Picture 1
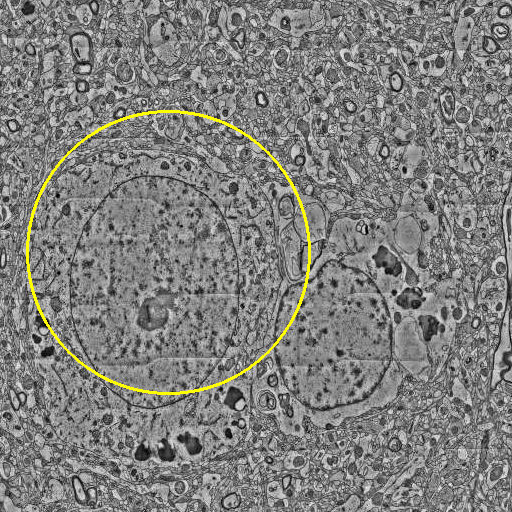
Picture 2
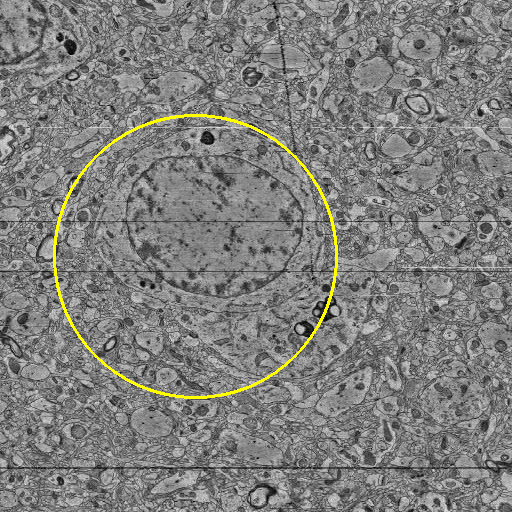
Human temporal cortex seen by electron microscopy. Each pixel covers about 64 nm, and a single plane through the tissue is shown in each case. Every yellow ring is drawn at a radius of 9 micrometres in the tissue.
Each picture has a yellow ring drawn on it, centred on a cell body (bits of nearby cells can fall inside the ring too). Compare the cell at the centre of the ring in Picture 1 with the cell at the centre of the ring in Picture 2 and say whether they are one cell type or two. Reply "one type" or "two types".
one type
